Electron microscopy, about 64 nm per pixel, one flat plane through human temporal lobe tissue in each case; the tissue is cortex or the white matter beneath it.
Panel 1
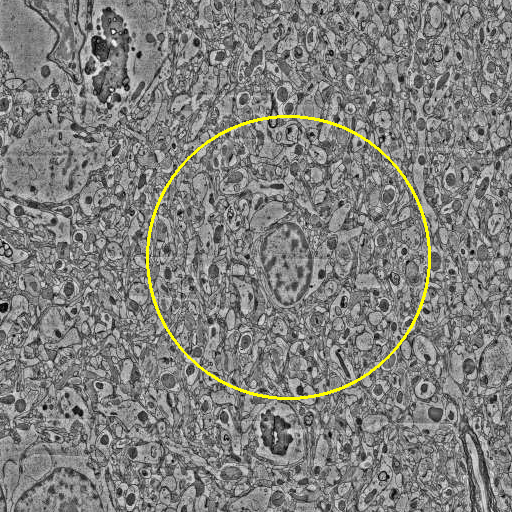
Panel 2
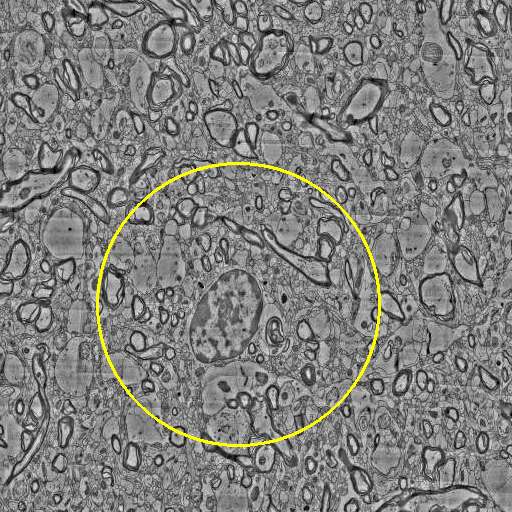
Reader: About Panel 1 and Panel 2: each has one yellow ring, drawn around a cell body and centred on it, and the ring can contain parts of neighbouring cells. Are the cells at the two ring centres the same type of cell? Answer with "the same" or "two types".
the same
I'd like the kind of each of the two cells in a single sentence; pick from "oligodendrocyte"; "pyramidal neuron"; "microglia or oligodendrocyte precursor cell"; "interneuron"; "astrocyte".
Each of the two rings is centred on a microglial cell or oligodendrocyte precursor cell.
